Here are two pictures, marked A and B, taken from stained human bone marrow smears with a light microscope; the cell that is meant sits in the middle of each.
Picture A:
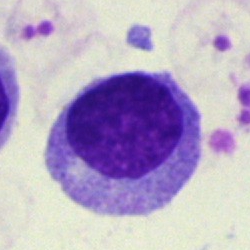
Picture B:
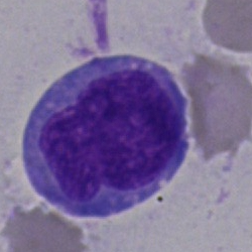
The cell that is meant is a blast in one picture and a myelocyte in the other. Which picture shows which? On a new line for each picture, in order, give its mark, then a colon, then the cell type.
A: myelocyte
B: blast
